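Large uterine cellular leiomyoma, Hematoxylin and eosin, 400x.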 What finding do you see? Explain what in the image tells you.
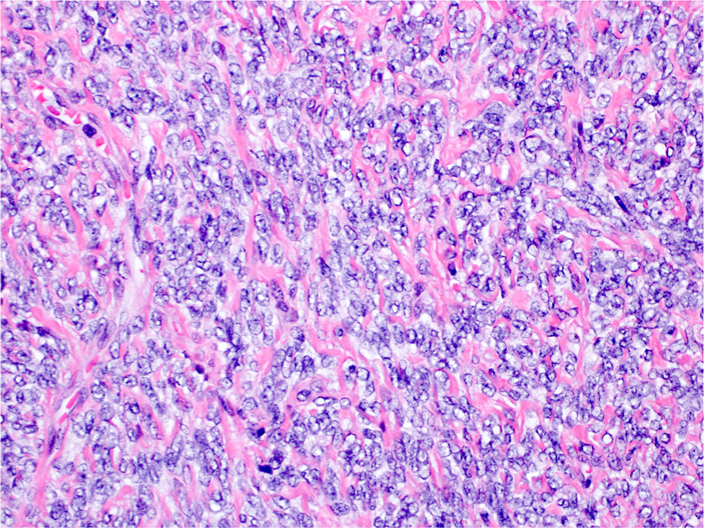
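Crowded nuclei are round to oval and fairly uniform.
Hence: round to ovoid nuclei with fine chromatin and small nucleoli.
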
